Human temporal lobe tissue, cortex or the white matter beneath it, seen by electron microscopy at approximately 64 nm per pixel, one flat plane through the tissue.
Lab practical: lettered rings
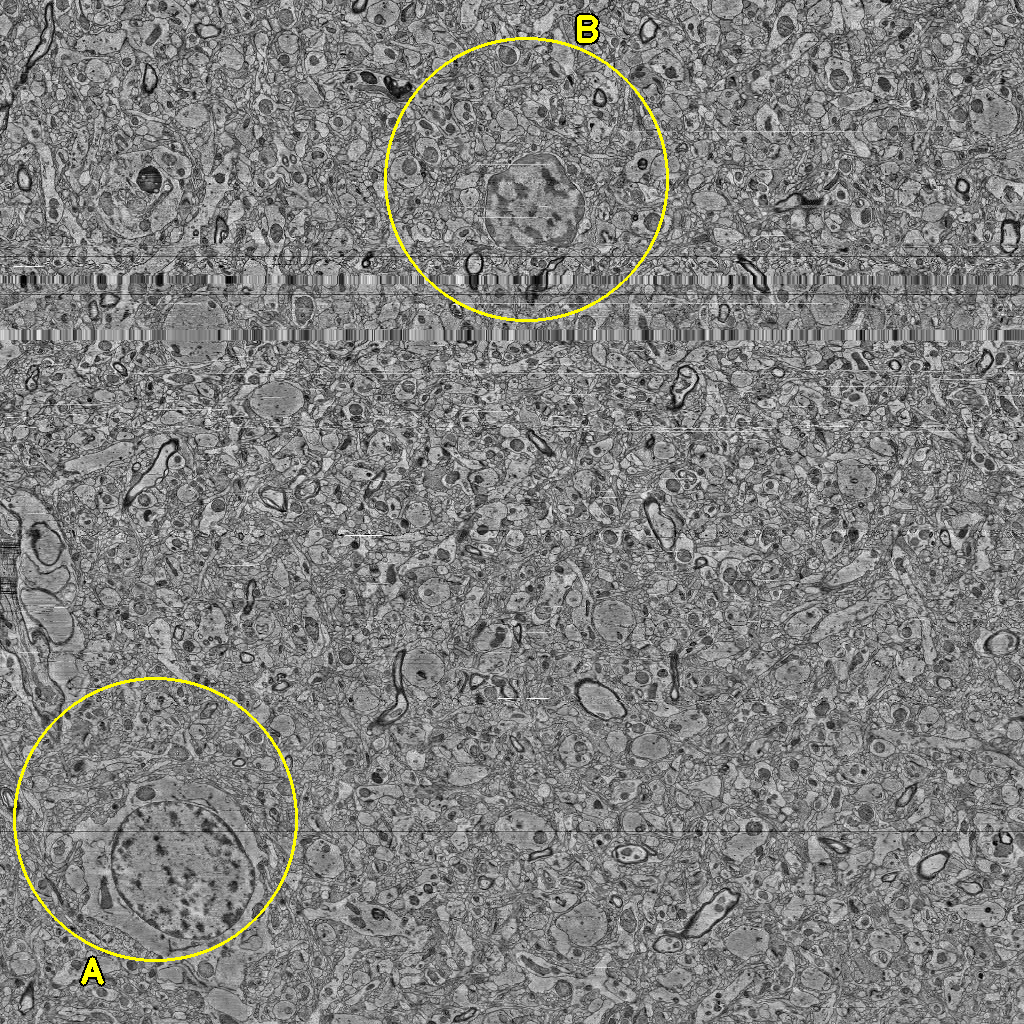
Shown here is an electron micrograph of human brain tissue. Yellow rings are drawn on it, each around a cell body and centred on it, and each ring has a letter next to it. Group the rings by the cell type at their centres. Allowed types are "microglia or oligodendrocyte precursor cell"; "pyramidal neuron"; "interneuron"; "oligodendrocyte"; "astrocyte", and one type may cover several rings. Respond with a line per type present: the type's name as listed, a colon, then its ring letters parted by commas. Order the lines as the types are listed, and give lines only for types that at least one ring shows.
microglia or oligodendrocyte precursor cell: B
astrocyte: A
